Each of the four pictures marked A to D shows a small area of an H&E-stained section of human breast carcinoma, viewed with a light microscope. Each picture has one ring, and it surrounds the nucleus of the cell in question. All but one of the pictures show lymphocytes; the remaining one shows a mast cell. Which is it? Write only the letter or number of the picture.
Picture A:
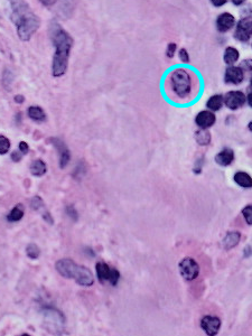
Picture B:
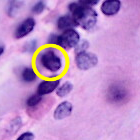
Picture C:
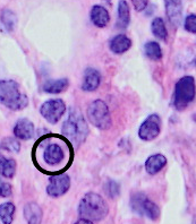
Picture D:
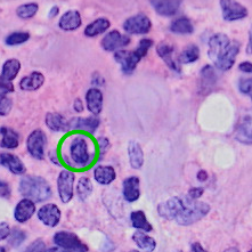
A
